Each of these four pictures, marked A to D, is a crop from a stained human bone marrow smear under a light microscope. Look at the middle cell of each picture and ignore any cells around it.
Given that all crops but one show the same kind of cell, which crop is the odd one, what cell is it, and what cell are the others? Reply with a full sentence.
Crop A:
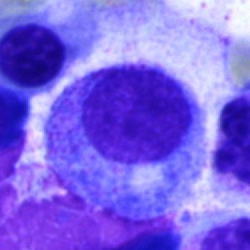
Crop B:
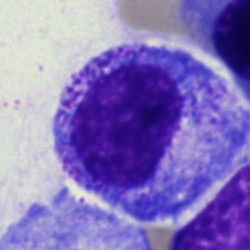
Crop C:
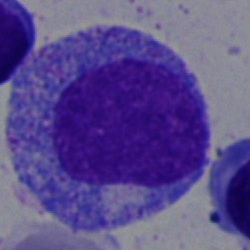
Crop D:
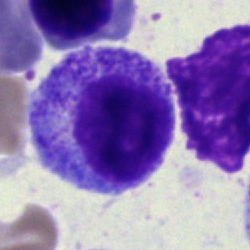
The different crop is D; it is a myelocyte, and the others all show promyelocytes.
